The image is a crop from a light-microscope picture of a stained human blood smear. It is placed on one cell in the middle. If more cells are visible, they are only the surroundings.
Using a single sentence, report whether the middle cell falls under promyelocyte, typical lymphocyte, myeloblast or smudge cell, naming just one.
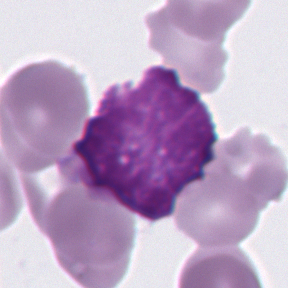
Standing at the centre of this crop is a smudge cell.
